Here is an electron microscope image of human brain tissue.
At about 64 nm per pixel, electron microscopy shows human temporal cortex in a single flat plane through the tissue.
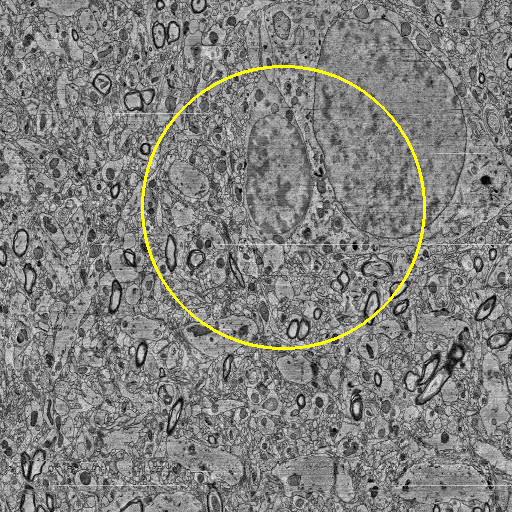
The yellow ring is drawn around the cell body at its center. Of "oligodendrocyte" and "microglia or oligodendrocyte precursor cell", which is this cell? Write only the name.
oligodendrocyte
